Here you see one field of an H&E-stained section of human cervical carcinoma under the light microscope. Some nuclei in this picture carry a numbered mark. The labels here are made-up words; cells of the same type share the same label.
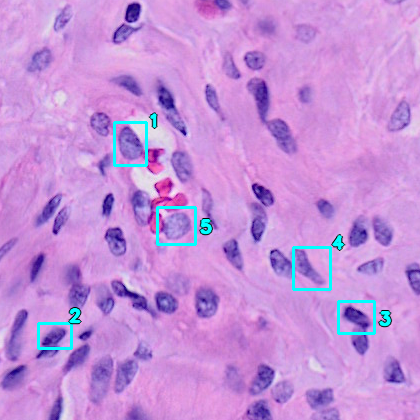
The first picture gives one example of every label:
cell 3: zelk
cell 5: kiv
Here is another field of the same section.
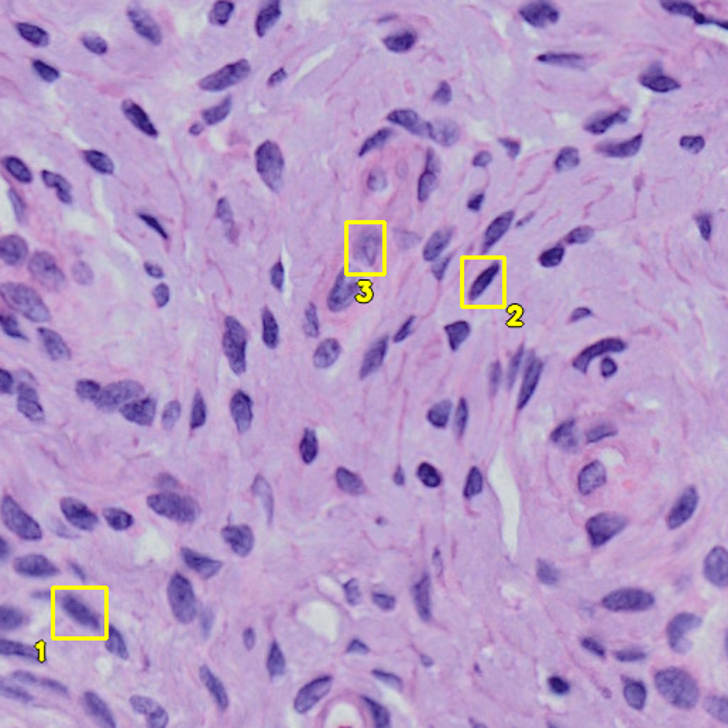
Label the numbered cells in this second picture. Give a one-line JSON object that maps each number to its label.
{"1": "zelk", "2": "zelk", "3": "kiv"}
